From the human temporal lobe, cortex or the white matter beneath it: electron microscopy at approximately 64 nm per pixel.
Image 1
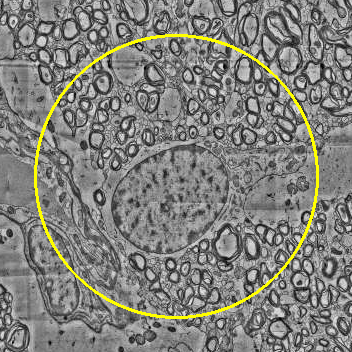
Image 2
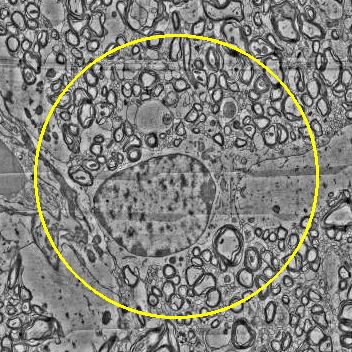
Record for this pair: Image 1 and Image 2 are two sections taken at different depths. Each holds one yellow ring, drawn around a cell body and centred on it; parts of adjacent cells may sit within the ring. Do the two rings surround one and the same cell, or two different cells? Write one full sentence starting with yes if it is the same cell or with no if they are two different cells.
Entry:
Yes, the marked cell is the same in both rings.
